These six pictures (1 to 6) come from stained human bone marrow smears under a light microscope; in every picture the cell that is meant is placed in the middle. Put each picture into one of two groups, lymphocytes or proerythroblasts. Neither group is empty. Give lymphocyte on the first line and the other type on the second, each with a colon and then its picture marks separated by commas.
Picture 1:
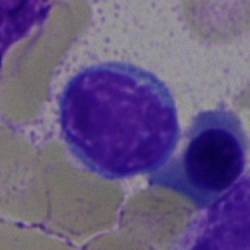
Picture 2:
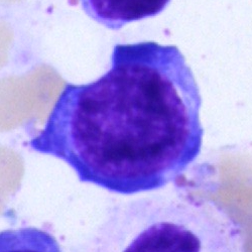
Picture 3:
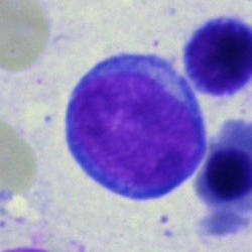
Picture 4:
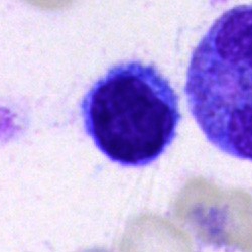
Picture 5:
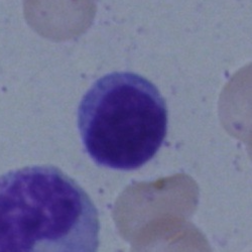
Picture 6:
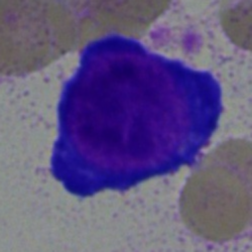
lymphocyte: 1, 4, 5
proerythroblast: 2, 3, 6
